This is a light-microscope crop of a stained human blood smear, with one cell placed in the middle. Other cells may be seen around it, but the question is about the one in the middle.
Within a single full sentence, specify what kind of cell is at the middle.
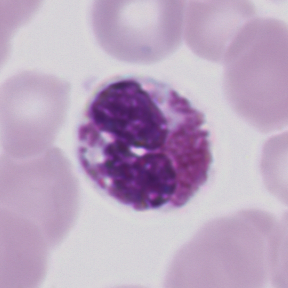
In the center of this field lies an eosinophil.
